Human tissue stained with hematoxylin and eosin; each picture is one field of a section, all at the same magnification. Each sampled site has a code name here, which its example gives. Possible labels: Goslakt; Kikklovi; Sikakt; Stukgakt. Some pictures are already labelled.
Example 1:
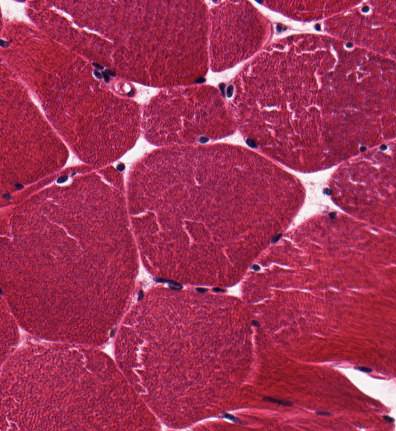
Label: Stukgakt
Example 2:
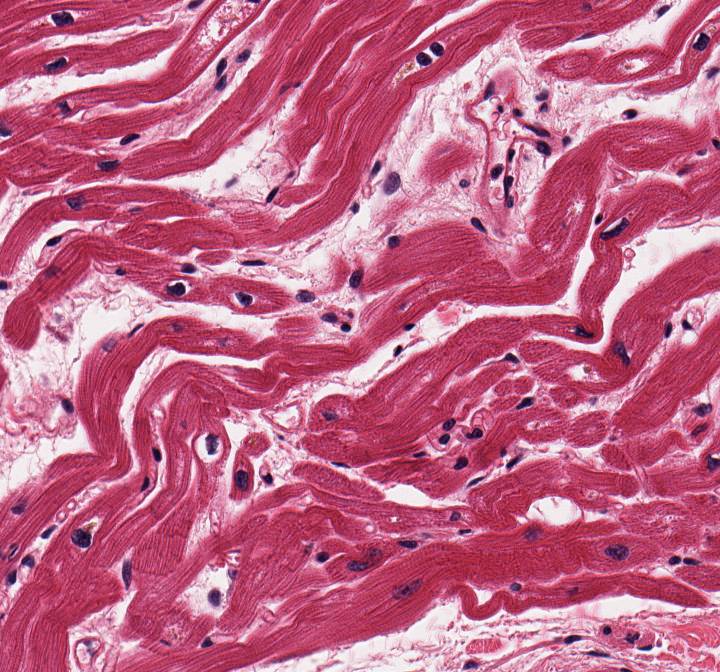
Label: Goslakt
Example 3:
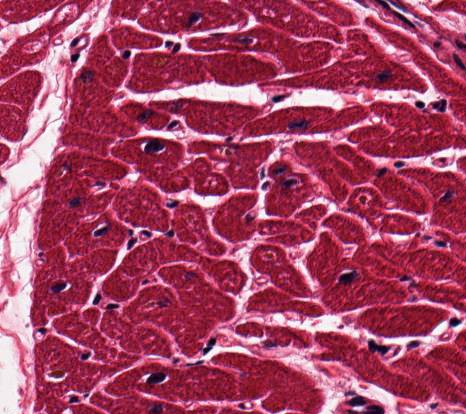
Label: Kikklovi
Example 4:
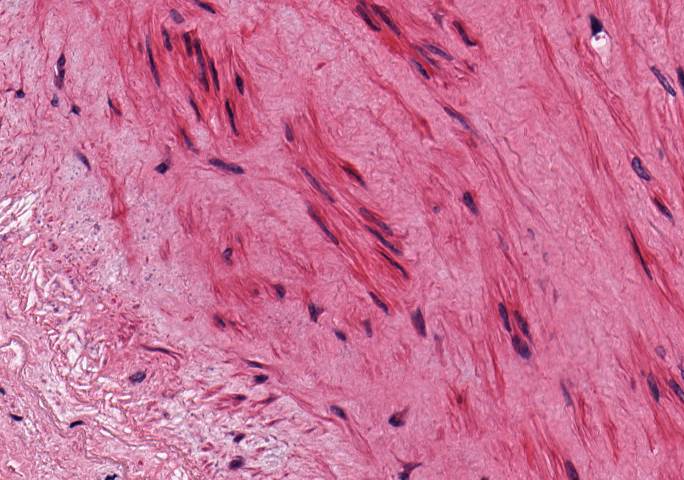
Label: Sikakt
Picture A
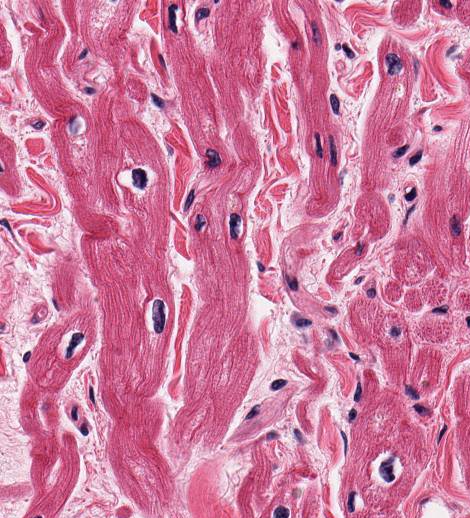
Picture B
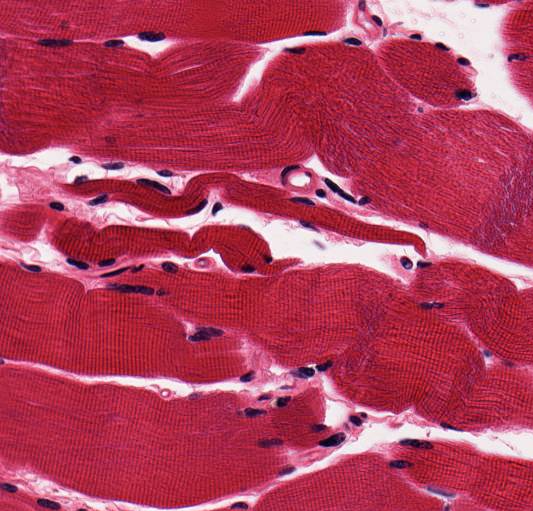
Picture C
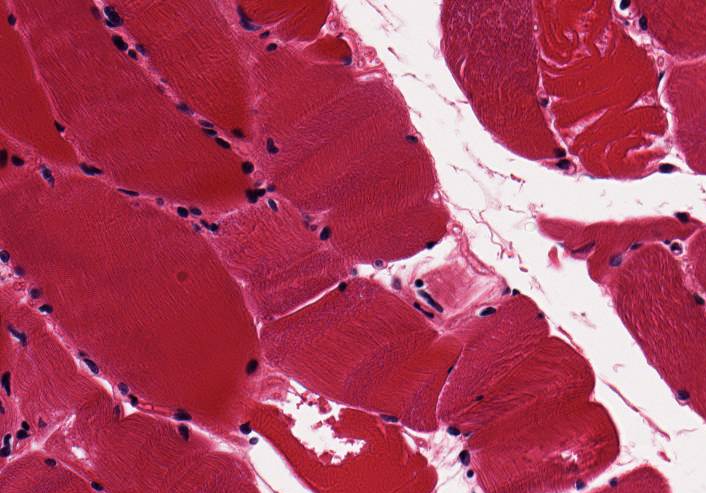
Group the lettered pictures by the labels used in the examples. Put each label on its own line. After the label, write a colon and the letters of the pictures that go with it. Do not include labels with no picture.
Goslakt: A
Stukgakt: B, C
